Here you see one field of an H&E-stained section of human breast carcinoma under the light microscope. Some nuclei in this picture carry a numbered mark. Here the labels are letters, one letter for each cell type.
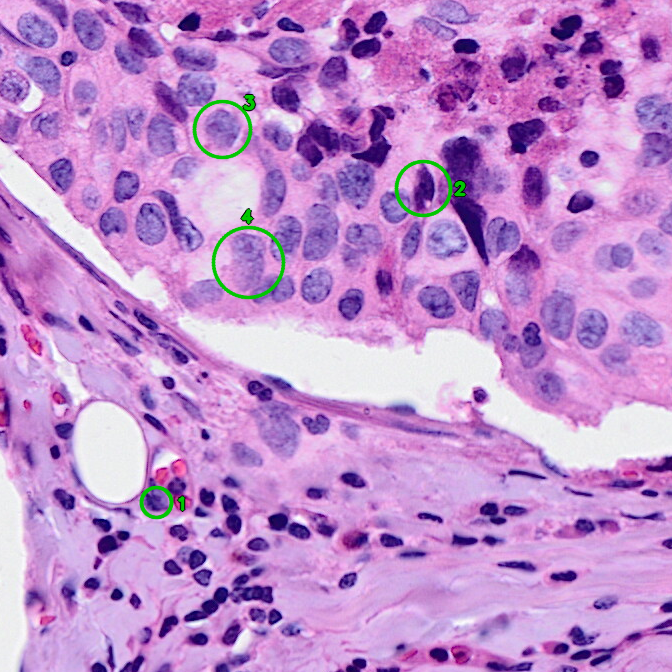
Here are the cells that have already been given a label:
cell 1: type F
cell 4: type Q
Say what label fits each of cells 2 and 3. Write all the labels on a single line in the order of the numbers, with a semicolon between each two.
type Q; type Q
